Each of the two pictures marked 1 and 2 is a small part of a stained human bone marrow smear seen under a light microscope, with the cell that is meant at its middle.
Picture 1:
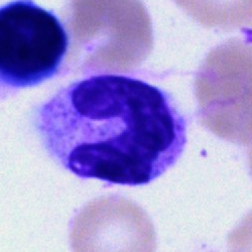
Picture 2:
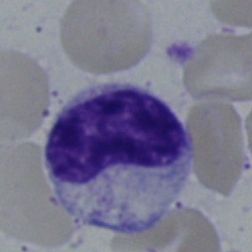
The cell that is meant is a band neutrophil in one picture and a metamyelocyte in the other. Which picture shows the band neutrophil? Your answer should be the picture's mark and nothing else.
1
